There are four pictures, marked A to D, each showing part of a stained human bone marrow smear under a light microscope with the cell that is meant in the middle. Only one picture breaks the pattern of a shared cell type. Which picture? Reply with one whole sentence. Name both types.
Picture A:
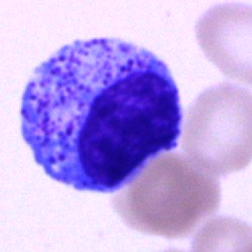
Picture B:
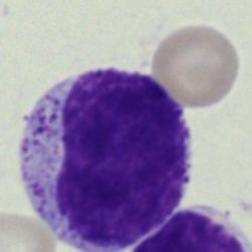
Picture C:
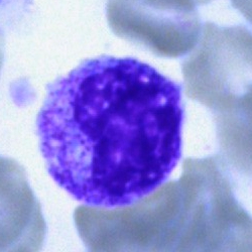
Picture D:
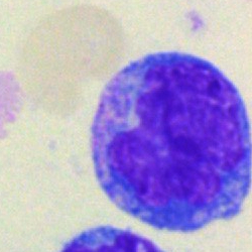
Unlike the rest, which show myelocytes, picture D shows a monocyte.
